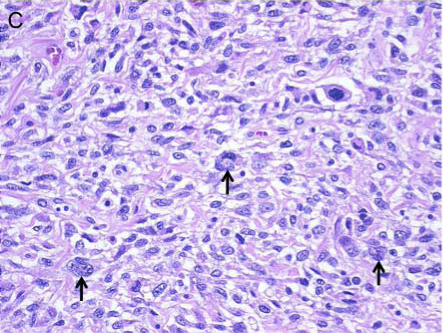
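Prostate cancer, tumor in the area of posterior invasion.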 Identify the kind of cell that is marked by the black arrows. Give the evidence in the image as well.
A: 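Multinucleated giant cells. The arrows point to cells larger than their neighbours.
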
